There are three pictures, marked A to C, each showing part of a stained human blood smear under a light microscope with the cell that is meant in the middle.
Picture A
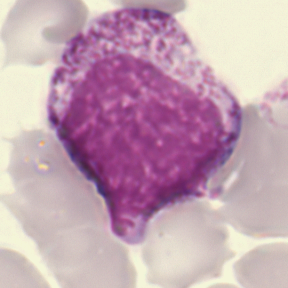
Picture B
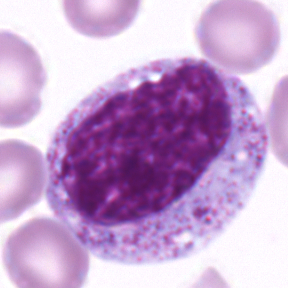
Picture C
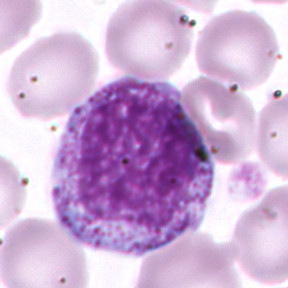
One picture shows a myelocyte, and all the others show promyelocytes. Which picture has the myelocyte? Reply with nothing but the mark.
C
